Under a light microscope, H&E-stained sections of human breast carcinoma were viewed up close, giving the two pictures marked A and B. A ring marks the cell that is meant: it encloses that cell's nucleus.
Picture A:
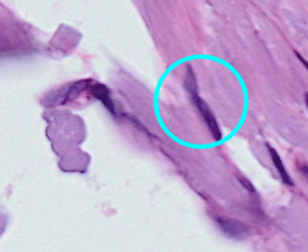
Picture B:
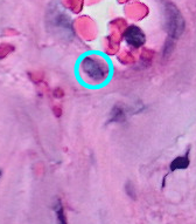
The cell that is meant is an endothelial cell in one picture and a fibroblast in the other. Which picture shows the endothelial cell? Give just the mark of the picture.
B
